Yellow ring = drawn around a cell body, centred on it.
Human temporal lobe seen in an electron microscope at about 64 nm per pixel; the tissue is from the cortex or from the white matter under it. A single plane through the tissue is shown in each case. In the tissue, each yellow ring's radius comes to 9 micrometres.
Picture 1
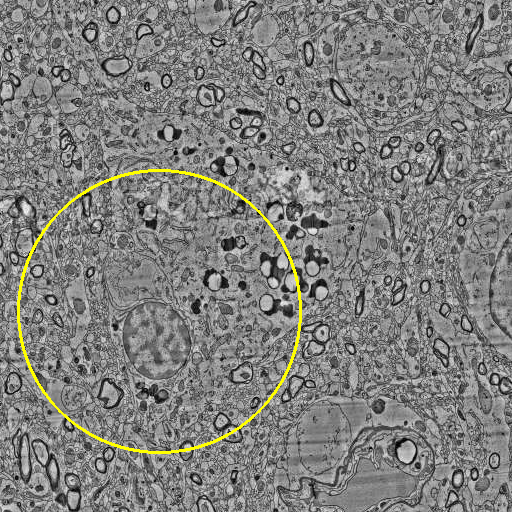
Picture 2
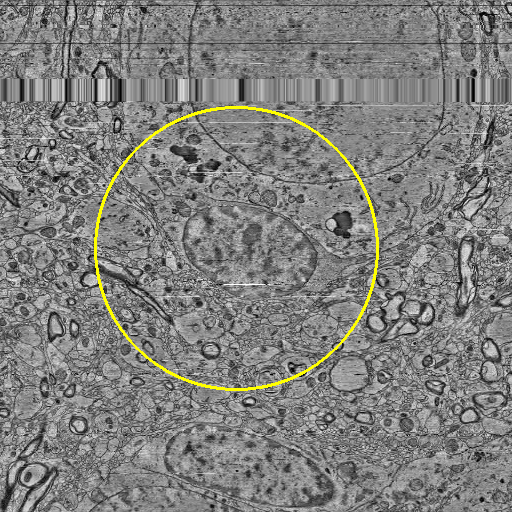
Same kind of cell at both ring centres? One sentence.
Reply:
No, they are two kinds of cell.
